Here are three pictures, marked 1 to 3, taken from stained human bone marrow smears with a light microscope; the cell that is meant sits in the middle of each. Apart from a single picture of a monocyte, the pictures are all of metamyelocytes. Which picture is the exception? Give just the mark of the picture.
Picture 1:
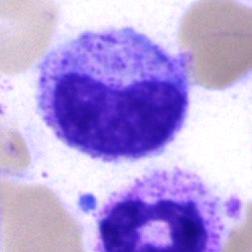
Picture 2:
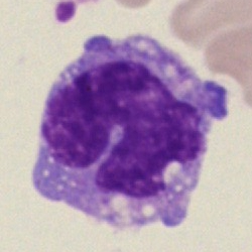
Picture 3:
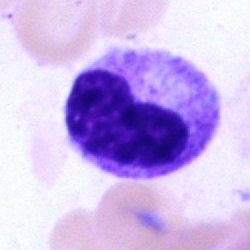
2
